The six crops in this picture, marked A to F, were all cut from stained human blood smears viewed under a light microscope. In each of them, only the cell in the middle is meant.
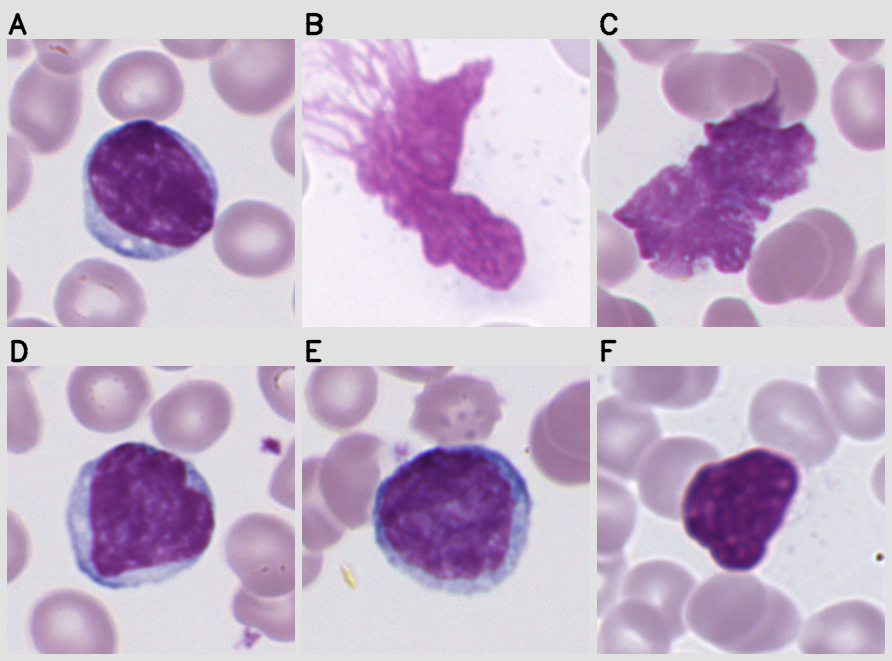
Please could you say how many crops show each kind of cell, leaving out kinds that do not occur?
typical lymphocyte: 3
smudge cell: 3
